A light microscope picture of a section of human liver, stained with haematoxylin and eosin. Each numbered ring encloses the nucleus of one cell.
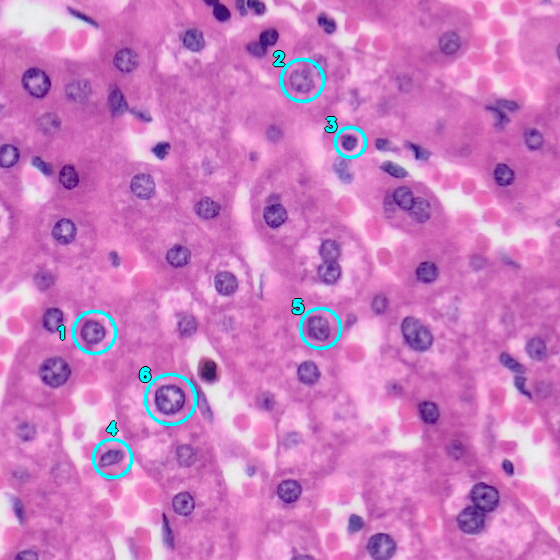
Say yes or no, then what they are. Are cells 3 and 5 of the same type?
No, cell 3 counts as a lymphocyte, and cell 5 counts as a hepatocyte.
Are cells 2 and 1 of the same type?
Yes, among the marked cells, numbers 2 and 1 are both hepatocytes.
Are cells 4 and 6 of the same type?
No, the cell at number 4 is a Kupffer cell, and the cell at number 6 is a hepatocyte.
